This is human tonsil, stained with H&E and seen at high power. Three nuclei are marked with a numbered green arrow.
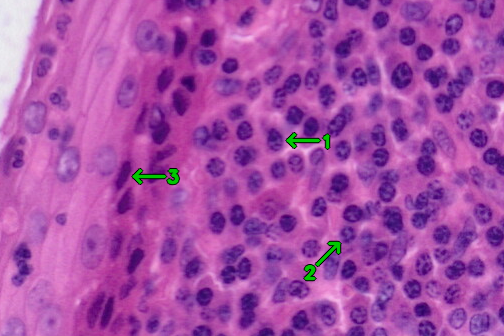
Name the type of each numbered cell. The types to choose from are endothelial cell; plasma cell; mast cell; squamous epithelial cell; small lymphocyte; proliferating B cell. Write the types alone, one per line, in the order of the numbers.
plasma cell
plasma cell
squamous epithelial cell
